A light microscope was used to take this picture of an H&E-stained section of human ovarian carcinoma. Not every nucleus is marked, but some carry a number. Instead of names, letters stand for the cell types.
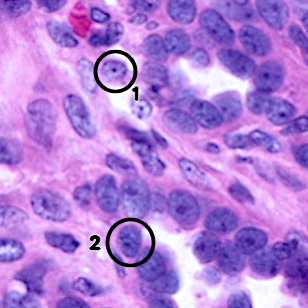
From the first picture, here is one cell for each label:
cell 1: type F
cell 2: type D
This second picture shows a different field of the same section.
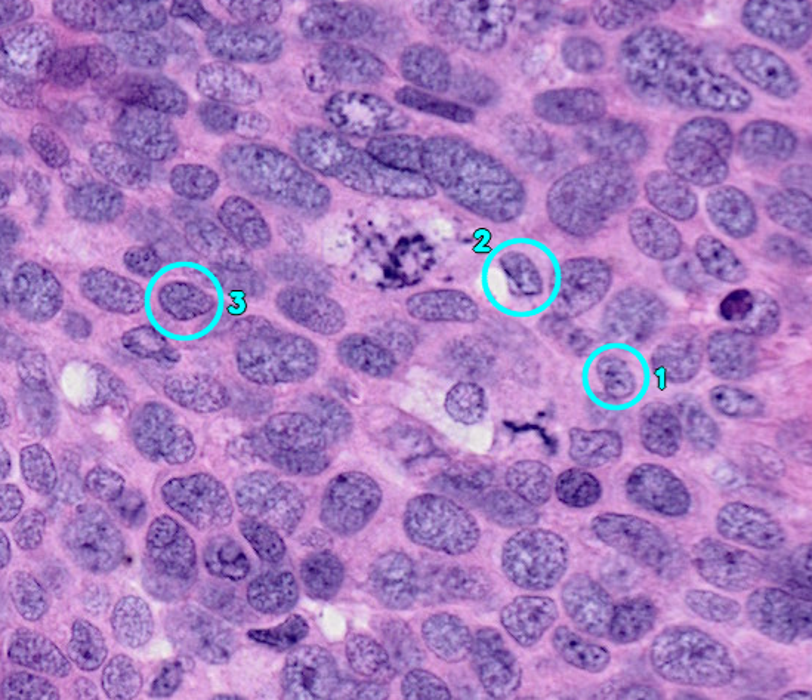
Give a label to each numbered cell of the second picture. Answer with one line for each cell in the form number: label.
1: type F
2: type F
3: type D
